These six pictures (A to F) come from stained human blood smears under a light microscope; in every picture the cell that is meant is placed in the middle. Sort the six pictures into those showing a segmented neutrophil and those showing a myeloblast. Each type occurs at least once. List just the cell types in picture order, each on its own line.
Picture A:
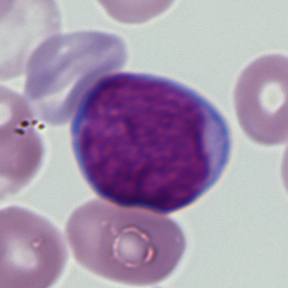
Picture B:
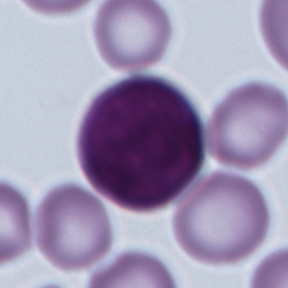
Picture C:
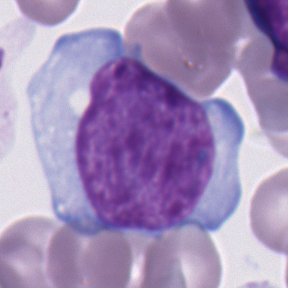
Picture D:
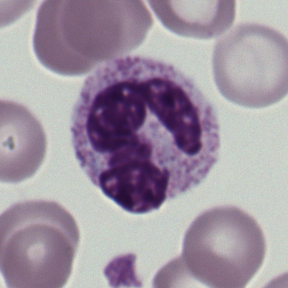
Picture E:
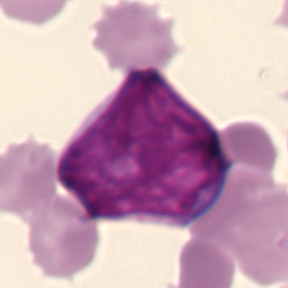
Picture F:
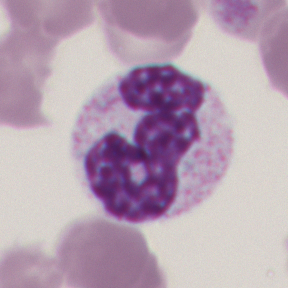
myeloblast
myeloblast
myeloblast
segmented neutrophil
myeloblast
segmented neutrophil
